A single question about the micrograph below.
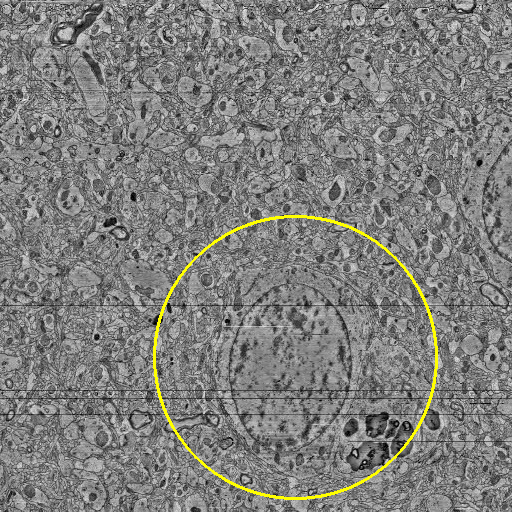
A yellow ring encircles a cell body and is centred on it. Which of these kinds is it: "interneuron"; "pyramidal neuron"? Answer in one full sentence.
The cell body at the centre of the yellow ring belongs to a pyramidal neuron.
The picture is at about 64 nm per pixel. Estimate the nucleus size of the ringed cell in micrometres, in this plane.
Approximately 11 x 8 micrometres in this plane.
